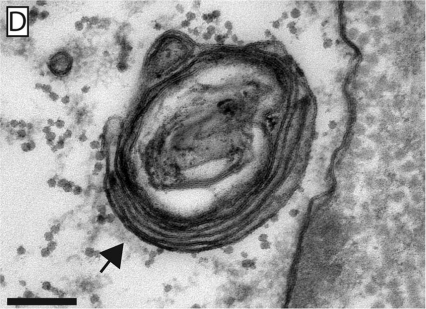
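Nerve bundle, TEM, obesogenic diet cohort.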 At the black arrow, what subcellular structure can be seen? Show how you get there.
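A round body wrapped in many concentric dark membrane layers. The layered body lies in a pale cytoplasm.
Answer: multilamellar bodies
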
